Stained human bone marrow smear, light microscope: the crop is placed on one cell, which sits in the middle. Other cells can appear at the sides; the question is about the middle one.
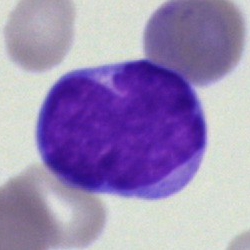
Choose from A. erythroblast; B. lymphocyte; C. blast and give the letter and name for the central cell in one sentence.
In the centre of the crop there is a blast, making option C correct.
